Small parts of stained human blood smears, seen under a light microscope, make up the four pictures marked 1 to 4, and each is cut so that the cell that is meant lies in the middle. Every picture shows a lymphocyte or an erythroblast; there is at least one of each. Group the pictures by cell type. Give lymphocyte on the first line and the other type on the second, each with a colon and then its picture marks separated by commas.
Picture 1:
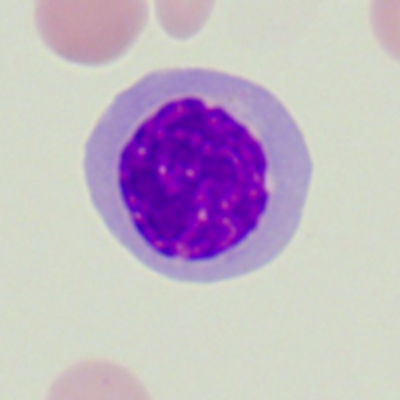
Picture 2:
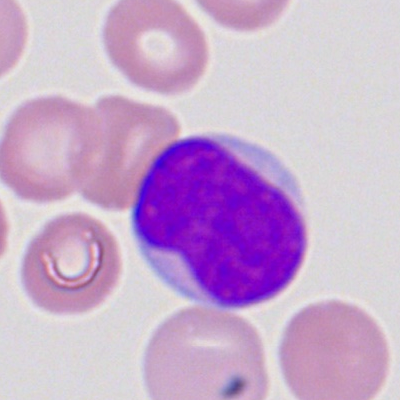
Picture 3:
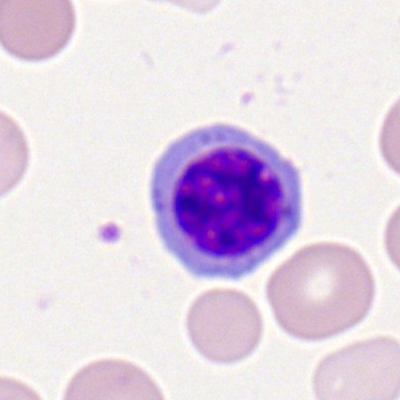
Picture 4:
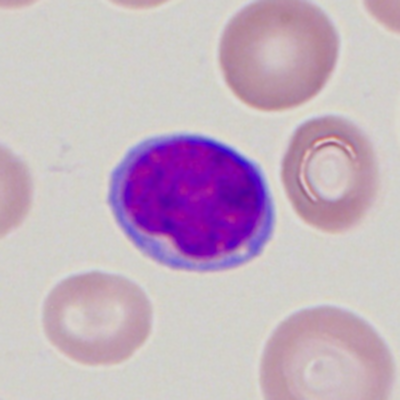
lymphocyte: 2, 4
erythroblast: 1, 3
